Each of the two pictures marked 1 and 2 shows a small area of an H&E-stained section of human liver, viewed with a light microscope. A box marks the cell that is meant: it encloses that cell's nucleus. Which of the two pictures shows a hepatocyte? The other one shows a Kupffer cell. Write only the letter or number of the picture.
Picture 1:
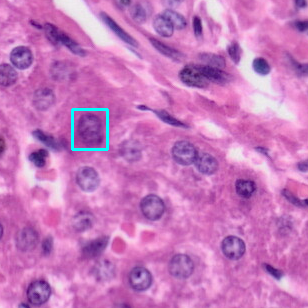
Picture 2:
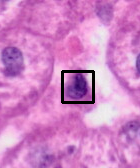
1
